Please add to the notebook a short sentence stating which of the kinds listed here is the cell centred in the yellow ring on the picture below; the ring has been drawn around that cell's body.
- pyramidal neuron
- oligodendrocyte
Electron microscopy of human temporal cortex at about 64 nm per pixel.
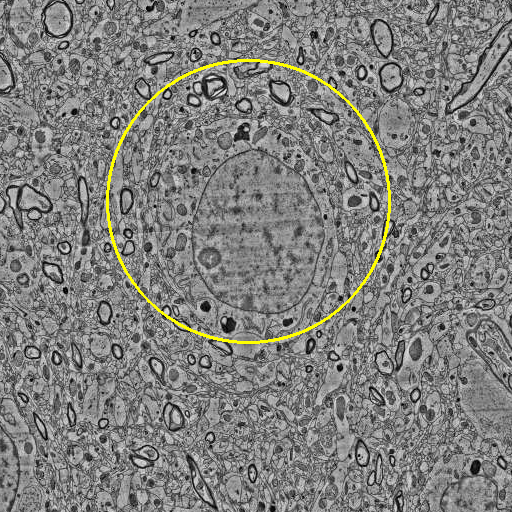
The cell centred in the yellow ring is a pyramidal neuron.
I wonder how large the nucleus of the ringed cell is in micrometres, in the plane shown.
About 11 micrometres by about 9 micrometres in this plane.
